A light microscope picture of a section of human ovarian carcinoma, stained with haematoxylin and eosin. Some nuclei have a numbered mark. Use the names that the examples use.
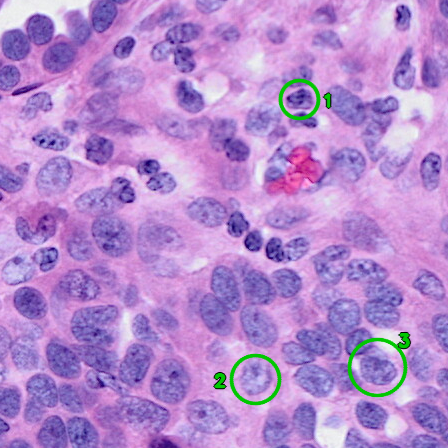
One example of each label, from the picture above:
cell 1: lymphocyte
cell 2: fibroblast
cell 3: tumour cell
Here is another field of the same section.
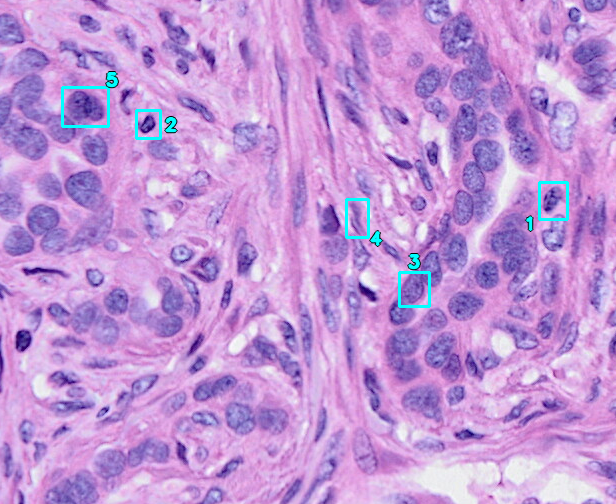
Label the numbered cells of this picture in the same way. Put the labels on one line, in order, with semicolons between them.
lymphocyte; lymphocyte; tumour cell; fibroblast; tumour cell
